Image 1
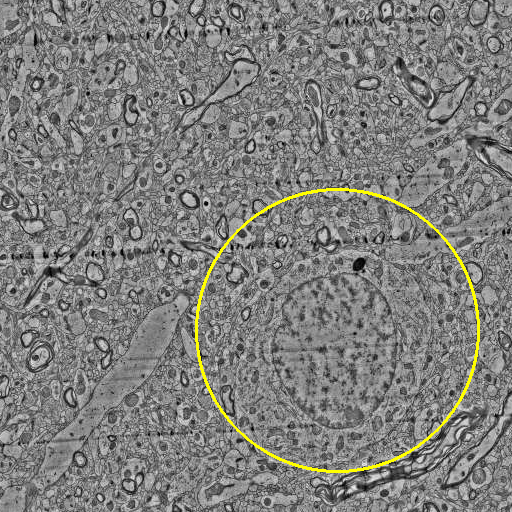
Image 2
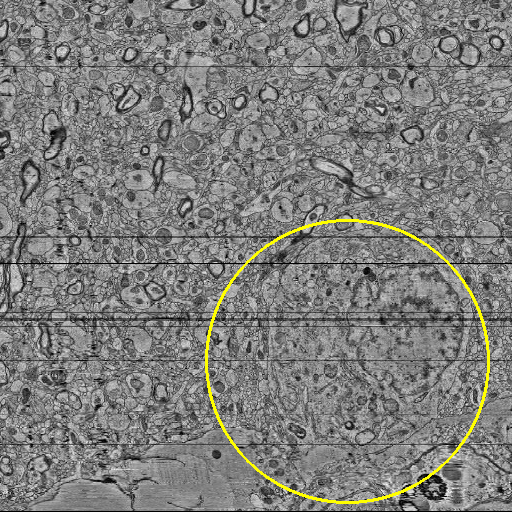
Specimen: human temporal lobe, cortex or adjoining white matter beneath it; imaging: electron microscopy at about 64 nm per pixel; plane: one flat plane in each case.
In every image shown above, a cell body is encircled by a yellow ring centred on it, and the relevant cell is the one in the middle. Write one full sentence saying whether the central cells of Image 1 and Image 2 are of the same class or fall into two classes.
The cell at the ring's centre in Image 1 and its counterpart in Image 2 are of the same class.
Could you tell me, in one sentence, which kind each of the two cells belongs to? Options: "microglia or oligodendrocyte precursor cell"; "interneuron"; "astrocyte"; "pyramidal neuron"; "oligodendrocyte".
The first and the second cell are each an interneuron.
